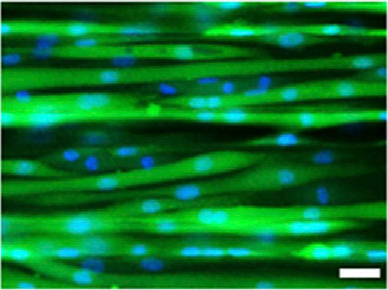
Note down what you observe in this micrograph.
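These are myotubes, long multinucleated muscle cells, filling the field in green. They are slender and very long, and all run horizontally, parallel to each other in closely packed bands. Blue nuclei lie in rows inside the green cells, with some further nuclei in the dark gaps between them.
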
